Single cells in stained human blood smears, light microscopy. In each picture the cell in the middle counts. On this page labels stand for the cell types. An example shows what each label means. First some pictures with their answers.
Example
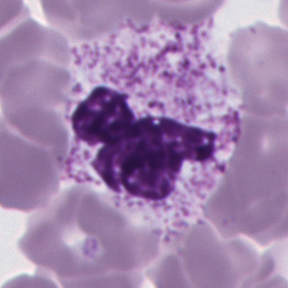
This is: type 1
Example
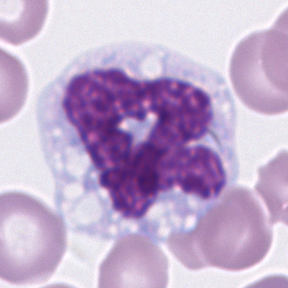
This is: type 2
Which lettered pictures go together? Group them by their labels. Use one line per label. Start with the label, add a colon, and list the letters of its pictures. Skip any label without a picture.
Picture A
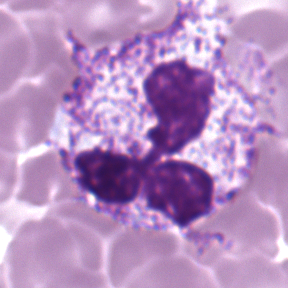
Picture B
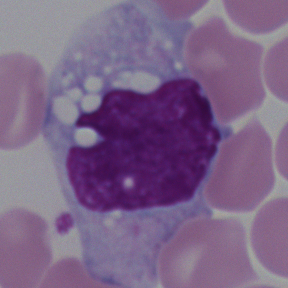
type 1: A
type 2: B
